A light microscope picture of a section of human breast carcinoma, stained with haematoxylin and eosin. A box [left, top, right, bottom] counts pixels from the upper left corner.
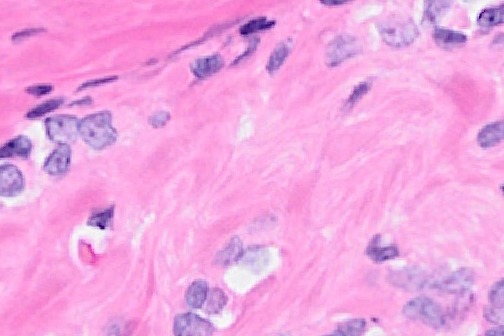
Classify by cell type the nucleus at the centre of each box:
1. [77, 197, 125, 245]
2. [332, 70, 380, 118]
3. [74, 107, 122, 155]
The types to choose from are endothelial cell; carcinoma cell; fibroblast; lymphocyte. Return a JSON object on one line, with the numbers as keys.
{"1": "endothelial cell", "2": "fibroblast", "3": "carcinoma cell"}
